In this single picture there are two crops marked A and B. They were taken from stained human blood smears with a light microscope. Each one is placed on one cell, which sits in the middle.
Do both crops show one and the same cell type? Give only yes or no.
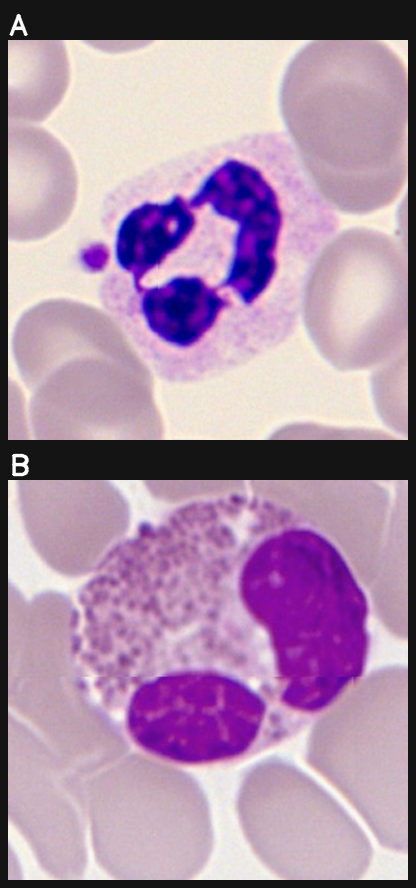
no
